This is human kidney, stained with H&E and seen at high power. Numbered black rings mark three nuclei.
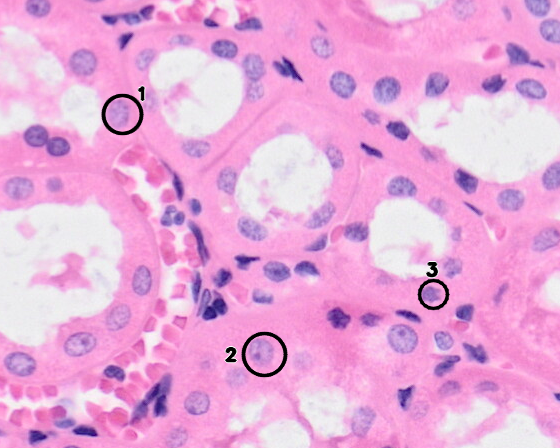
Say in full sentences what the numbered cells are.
Cell 1 is a proximal tubule cell, cell 2 is a proximal tubule cell and cell 3 is a loop of Henle or distal tubule cell.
